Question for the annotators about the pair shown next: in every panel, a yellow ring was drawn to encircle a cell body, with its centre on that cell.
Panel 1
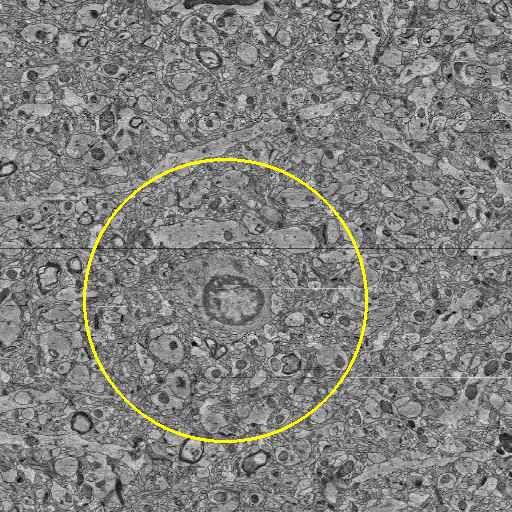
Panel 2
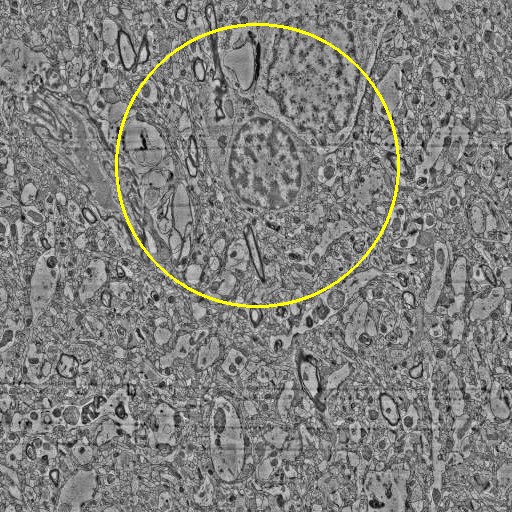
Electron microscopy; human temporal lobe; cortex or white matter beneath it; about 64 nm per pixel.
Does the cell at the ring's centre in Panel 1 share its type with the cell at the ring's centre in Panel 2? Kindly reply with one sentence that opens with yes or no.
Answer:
Yes, in Panels 1 and 2 the cells at the ring centres belong to a single type.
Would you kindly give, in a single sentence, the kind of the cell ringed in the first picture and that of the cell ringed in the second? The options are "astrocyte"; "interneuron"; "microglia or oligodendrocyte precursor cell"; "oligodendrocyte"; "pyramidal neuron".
In the first picture and in the second, the ring is centred on an oligodendrocyte.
